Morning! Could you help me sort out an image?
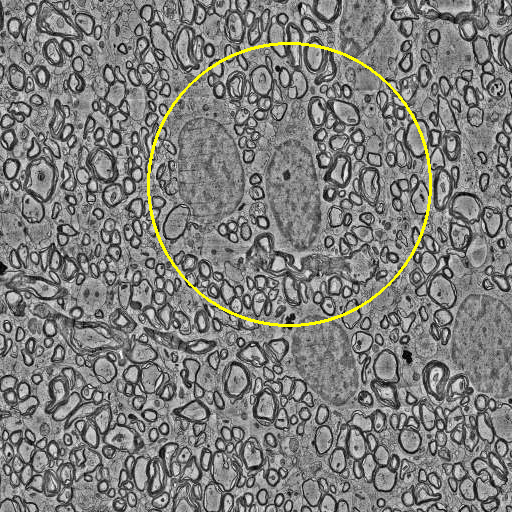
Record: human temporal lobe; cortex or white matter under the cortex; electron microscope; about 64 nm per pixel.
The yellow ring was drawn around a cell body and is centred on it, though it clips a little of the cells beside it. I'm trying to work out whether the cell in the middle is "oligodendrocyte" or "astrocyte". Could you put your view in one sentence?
The ringed cell body is that of an oligodendrocyte.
